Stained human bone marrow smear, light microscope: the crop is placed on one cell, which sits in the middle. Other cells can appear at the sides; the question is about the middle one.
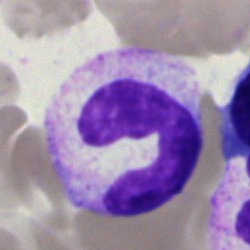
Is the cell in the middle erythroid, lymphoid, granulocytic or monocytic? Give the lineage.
granulocytic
